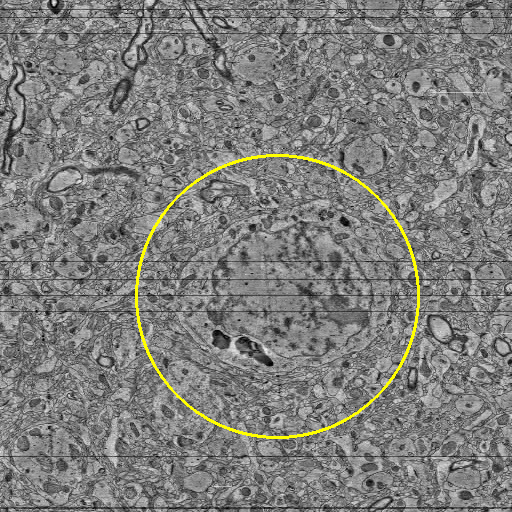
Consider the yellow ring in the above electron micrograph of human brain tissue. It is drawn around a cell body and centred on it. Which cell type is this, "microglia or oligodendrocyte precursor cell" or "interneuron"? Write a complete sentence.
The cell in question is an interneuron.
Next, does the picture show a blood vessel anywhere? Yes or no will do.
No, no blood vessel can be seen.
